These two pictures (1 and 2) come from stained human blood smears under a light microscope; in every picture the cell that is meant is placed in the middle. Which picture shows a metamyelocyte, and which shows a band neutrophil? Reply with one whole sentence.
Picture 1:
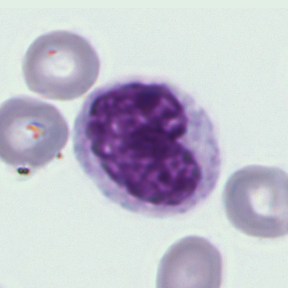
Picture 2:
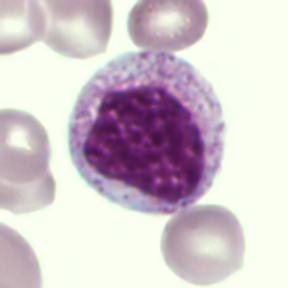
Picture 1 is of a band neutrophil, and picture 2 is of a metamyelocyte.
